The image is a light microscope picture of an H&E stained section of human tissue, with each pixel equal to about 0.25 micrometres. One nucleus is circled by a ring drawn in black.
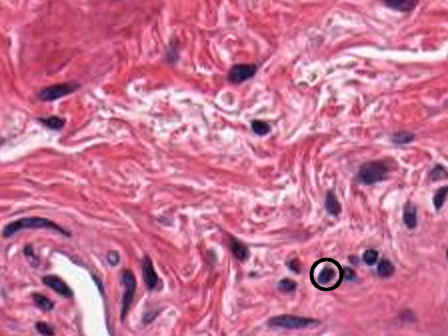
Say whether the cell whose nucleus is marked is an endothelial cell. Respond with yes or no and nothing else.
no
